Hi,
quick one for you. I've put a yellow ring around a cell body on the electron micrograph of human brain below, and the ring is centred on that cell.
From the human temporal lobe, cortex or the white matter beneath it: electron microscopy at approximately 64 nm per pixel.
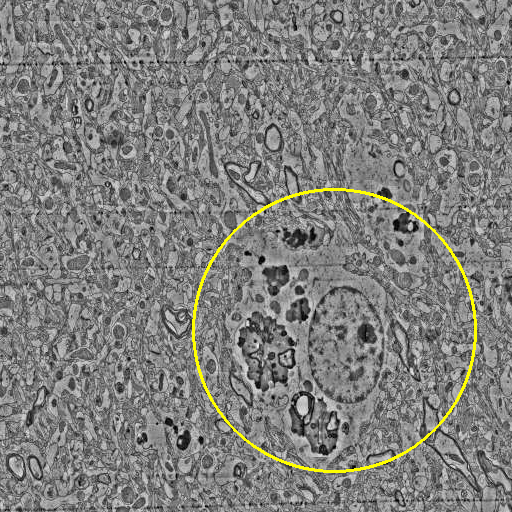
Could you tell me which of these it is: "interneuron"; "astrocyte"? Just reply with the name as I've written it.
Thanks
astrocyte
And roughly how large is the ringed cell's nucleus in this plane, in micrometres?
Roughly 7 micrometres by 5 micrometres, so the nucleus is clearly longer than it is wide in this plane.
